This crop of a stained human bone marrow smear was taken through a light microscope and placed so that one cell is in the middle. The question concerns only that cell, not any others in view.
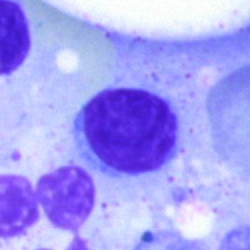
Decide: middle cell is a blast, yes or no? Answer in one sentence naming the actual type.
No, the centrally placed cell is a lymphocyte, not a blast.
